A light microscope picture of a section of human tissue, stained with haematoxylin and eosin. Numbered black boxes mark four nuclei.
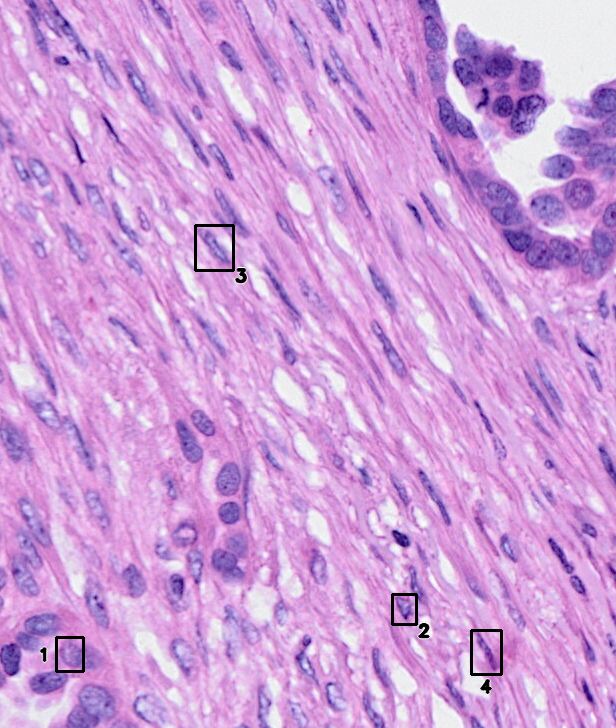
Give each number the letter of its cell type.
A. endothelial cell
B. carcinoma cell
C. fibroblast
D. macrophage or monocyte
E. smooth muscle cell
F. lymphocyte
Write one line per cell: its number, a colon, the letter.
1: B
2: C
3: C
4: C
